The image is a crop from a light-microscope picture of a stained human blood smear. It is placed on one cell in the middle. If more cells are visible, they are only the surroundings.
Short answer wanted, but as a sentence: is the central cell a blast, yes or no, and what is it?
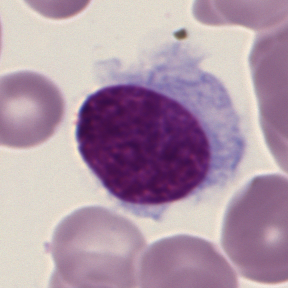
No, it is not a blast that sits at the centre but a hairy cell.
